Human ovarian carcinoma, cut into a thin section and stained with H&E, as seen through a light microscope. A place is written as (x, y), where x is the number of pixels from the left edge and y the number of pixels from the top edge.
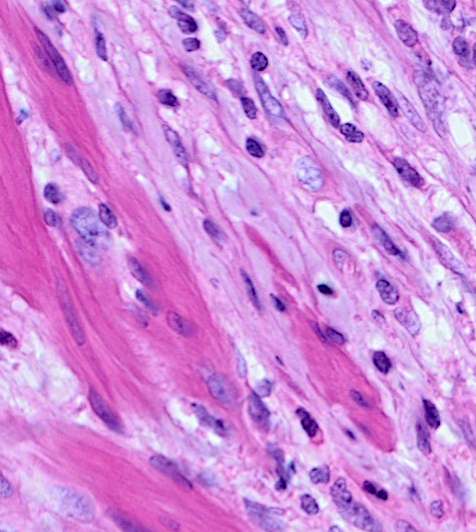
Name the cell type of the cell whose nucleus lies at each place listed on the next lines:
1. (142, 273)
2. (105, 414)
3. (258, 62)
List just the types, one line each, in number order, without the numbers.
smooth muscle cell
smooth muscle cell
lymphocyte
